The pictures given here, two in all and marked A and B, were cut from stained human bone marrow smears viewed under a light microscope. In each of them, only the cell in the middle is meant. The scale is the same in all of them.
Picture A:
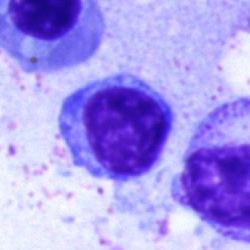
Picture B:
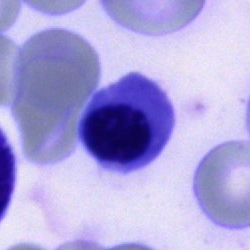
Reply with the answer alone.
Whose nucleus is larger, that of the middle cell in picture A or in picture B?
A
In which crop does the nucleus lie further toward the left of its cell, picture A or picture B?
B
